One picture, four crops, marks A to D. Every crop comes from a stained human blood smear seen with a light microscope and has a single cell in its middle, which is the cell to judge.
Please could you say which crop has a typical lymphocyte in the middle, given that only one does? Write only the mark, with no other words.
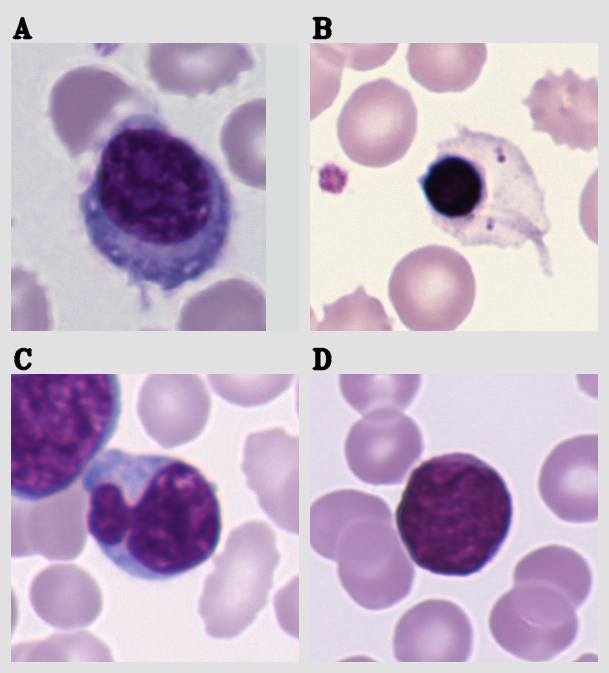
C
